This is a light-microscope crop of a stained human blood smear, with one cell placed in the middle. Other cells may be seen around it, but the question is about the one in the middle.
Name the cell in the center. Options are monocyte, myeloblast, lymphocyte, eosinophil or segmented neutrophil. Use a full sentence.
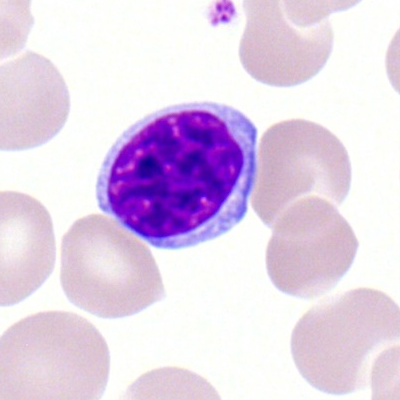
In this crop, the cell at the very middle is a lymphocyte.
